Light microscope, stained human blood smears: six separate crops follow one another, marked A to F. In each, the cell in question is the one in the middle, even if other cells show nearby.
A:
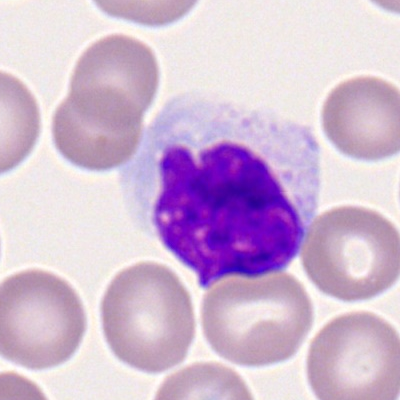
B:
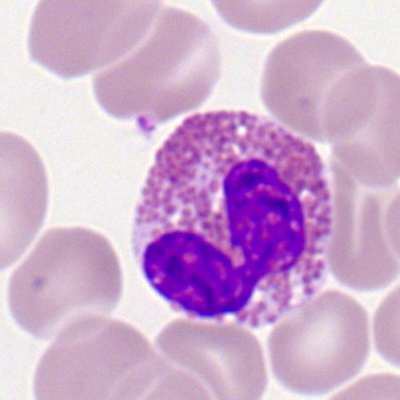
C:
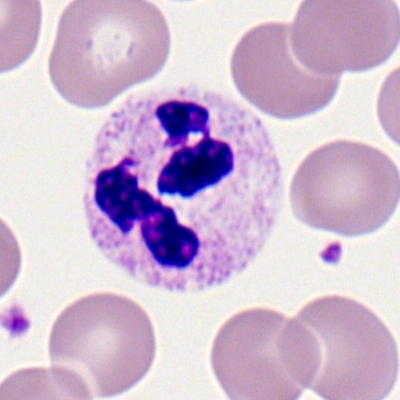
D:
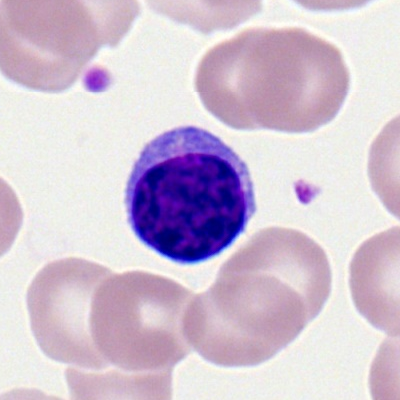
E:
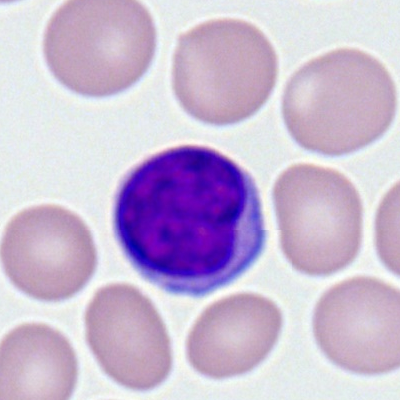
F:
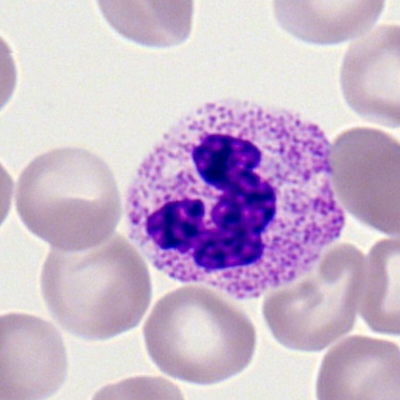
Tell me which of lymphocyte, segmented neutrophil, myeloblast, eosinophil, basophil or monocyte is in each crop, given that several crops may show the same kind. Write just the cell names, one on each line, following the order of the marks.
lymphocyte
eosinophil
segmented neutrophil
lymphocyte
lymphocyte
segmented neutrophil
